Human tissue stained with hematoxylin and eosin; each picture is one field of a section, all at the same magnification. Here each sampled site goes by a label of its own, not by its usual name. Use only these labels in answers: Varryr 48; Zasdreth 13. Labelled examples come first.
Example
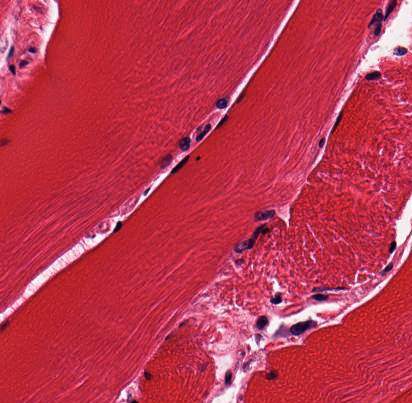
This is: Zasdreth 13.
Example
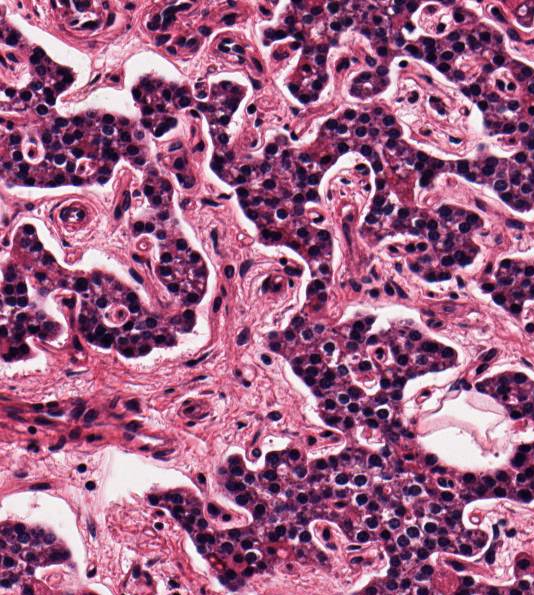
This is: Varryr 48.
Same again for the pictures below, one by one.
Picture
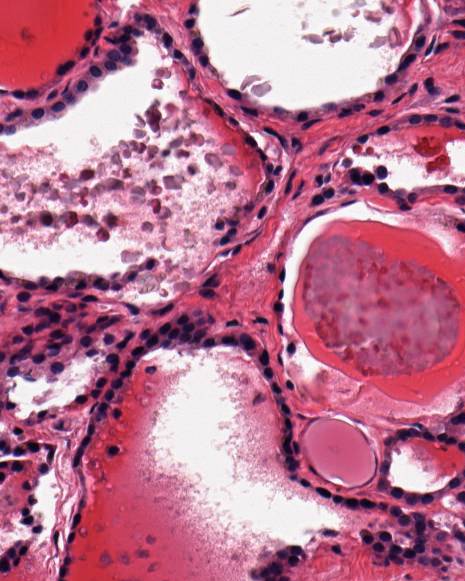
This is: Varryr 48.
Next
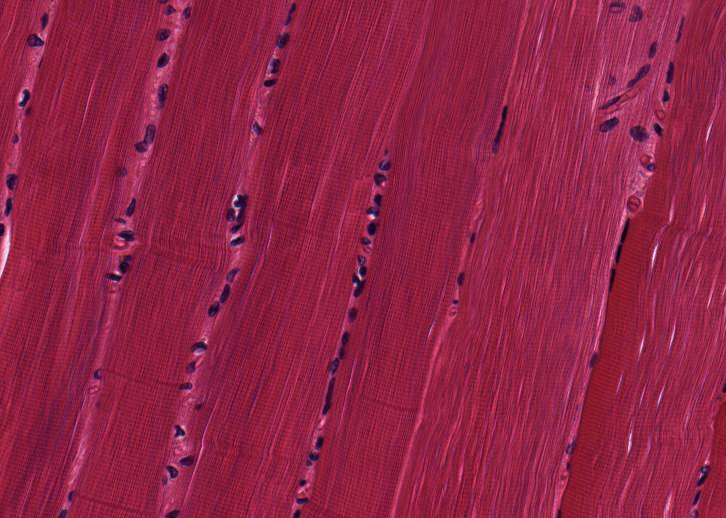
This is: Zasdreth 13.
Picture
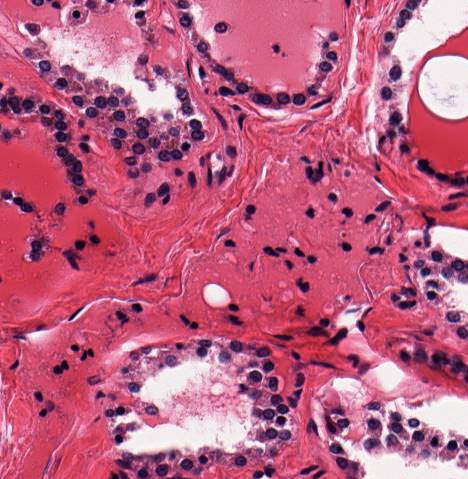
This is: Varryr 48.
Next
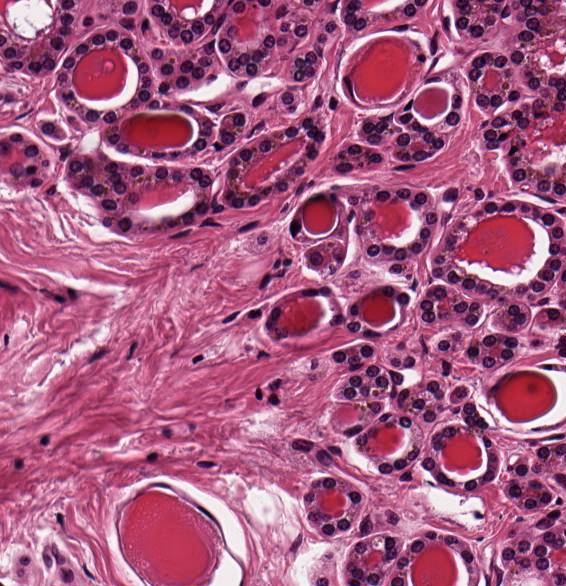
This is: Varryr 48.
